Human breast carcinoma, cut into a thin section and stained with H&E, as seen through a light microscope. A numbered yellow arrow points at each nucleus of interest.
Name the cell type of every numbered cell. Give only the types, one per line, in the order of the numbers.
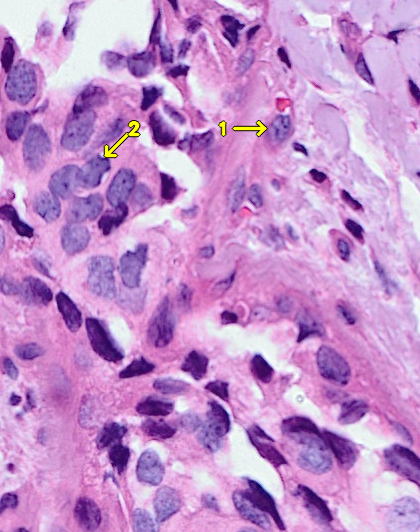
endothelial cell
carcinoma cell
